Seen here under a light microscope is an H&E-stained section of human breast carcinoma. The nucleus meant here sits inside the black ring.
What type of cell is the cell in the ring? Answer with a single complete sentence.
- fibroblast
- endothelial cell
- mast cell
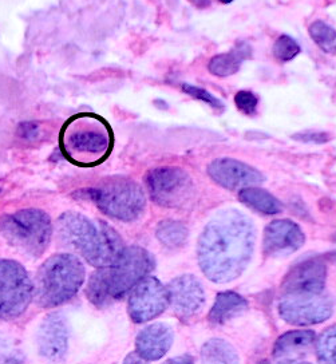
Recorded by type, the cell in the ring is a mast cell.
